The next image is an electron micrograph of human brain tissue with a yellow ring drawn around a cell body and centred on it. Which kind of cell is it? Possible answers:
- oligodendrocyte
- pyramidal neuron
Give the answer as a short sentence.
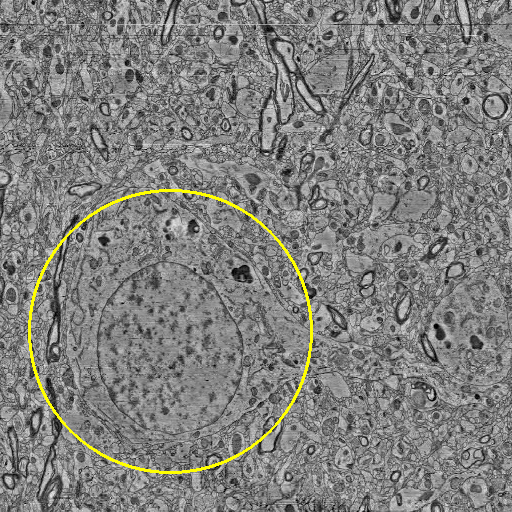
In the ring's centre is a pyramidal neuron.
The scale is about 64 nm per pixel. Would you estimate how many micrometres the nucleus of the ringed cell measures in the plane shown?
In this plane the nucleus measures roughly 12 by 9 micrometres.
